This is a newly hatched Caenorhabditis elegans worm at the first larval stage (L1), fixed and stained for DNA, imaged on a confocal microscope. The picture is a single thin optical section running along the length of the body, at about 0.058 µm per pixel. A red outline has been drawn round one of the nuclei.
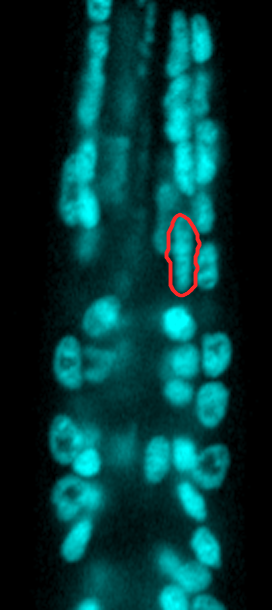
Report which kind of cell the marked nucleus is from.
pharyngeal epithelial cell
